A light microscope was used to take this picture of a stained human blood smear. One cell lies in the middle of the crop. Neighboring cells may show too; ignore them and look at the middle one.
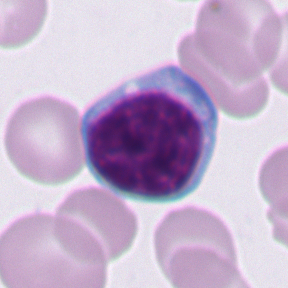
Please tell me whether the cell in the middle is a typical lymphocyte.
yes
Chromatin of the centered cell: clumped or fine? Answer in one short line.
One feature to record is coarsely clumped chromatin.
